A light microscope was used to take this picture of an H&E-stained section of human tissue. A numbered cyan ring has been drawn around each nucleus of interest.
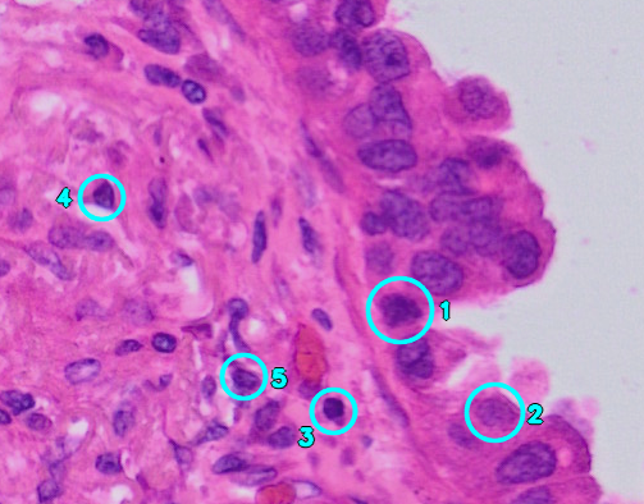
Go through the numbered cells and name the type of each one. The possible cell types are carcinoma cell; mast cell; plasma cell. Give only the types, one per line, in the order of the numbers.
carcinoma cell
carcinoma cell
plasma cell
plasma cell
plasma cell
